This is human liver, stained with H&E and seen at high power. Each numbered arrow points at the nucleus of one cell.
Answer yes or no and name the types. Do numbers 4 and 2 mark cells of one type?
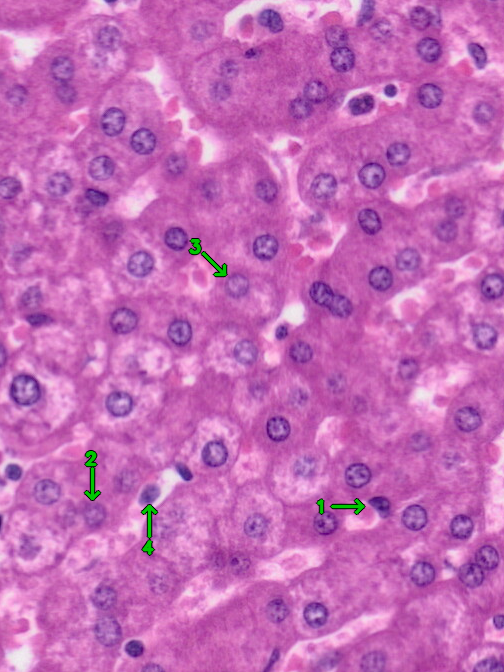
No, with respect, cell 4 is a lymphocyte and cell 2 is a hepatocyte.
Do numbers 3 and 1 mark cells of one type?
No, the right answer is a hepatocyte for cell 3 and an endothelial cell for cell 1.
